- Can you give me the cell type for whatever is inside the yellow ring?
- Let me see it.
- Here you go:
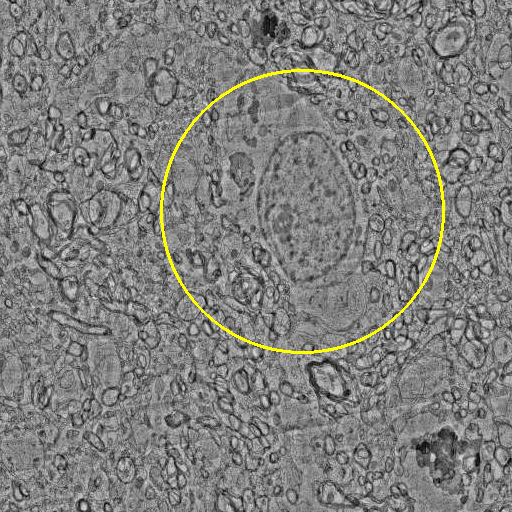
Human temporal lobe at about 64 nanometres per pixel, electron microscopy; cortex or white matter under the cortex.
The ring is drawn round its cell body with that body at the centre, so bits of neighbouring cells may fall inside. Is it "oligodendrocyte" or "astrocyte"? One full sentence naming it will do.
The cell body in the middle of the ring in this picture belongs to an astrocyte.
